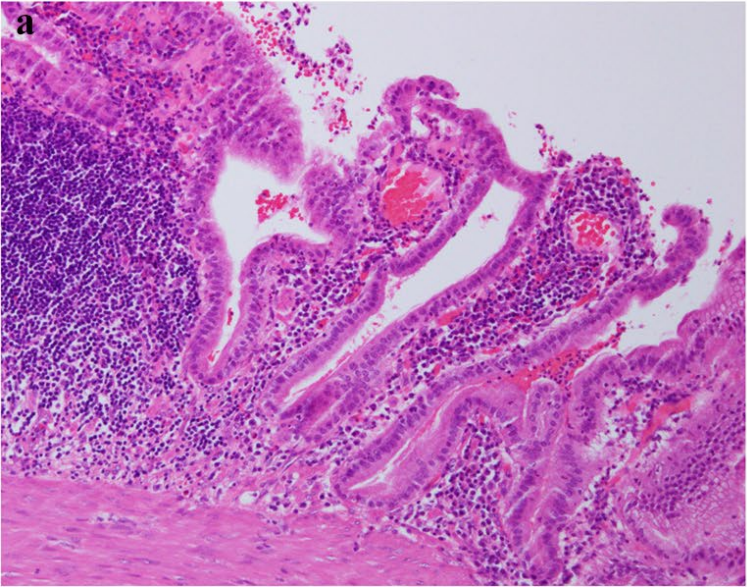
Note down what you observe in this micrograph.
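Mucosal folds lined by a single layer of tall columnar epithelial cells with basal, elongated nuclei and pink cytoplasm rise above a stroma crowded with small inflammatory cells with dark round nuclei. The infiltrate is densest at the left, and the fold cores hold congested vessels packed with red blood cells. A band of pink smooth muscle runs along the lower left edge.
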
